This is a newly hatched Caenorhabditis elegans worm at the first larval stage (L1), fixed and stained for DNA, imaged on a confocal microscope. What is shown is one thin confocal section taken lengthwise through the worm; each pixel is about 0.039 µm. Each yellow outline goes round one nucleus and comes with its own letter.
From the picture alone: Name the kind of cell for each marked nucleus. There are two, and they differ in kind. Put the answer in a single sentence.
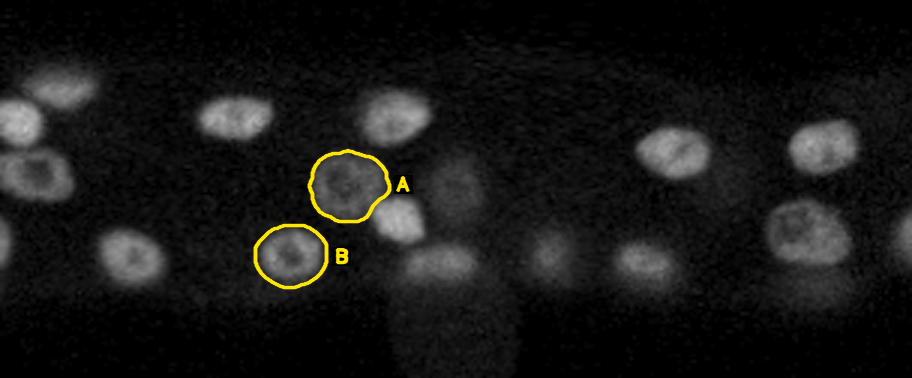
A is the nucleus of a hypodermal cell (hyp); B is the nucleus of a seam cell.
